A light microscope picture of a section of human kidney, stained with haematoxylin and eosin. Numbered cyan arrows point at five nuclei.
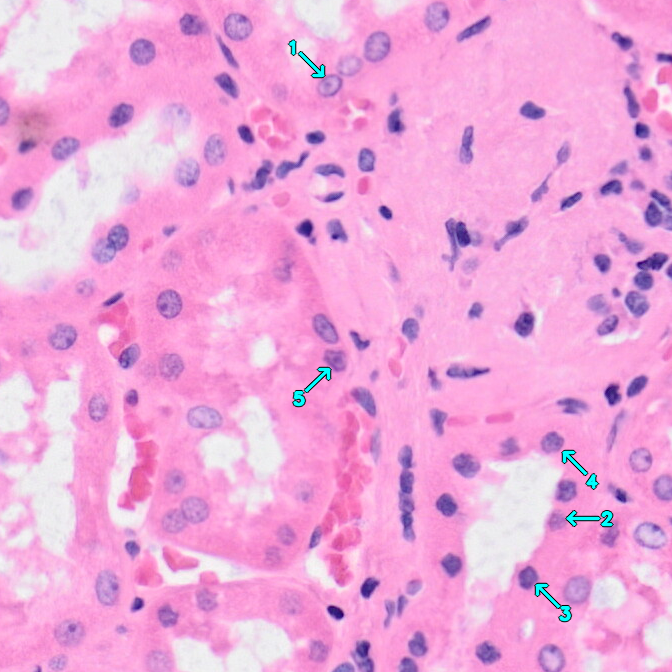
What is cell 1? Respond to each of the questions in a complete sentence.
Denoted by the label 1 in the section is a proximal tubule cell.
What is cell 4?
To a loop of Henle or distal tubule cell belongs the nucleus marked 4.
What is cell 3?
The nucleus labelled 3 belongs to a loop of Henle or distal tubule cell.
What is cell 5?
Cell number 5 in this section is a proximal tubule cell.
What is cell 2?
The nucleus marked 2 is the nucleus of a loop of Henle or distal tubule cell.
